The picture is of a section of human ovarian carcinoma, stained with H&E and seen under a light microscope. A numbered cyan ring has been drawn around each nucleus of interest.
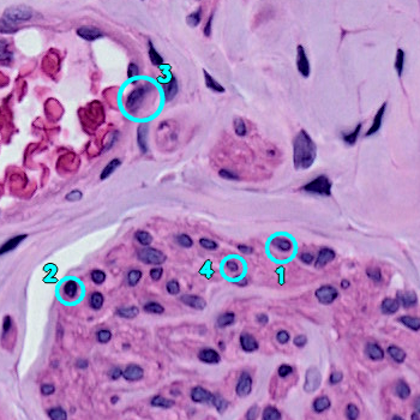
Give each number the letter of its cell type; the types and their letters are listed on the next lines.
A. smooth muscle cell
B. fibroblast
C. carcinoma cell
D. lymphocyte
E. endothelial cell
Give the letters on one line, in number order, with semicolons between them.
A; A; E; A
